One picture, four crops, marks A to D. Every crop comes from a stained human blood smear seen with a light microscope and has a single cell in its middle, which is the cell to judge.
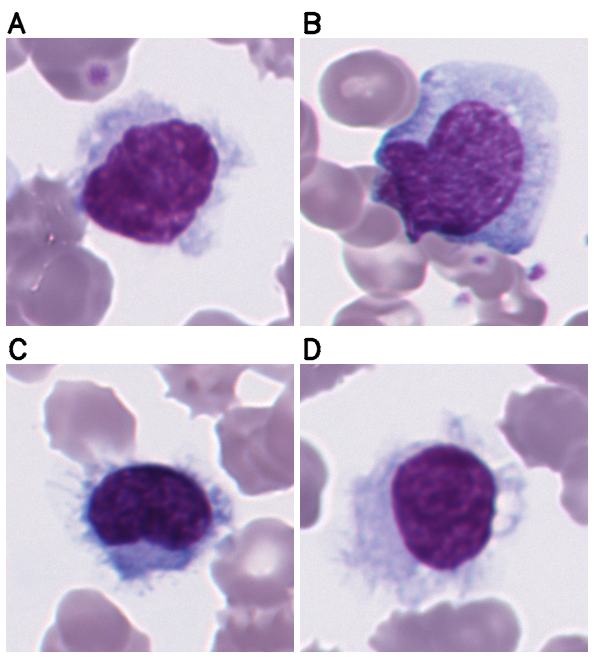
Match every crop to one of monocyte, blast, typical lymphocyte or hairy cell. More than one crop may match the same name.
A: hairy cell
B: monocyte
C: hairy cell
D: hairy cell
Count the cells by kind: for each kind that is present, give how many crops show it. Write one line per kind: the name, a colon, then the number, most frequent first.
hairy cell: 3
monocyte: 1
